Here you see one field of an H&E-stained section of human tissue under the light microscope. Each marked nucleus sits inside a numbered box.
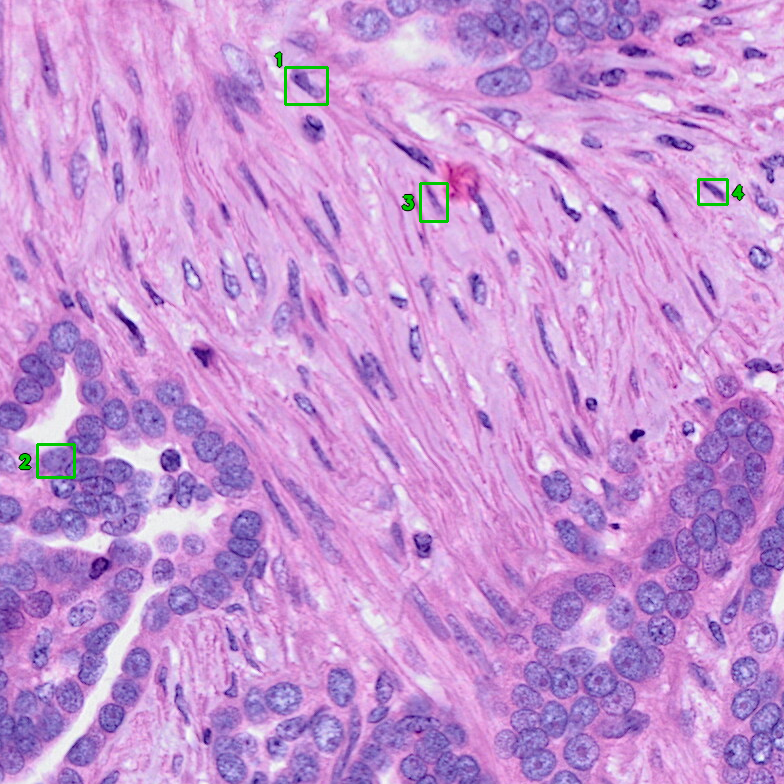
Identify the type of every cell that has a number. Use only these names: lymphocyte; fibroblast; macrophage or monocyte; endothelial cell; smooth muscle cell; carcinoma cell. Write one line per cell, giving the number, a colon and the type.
1: fibroblast
2: carcinoma cell
3: fibroblast
4: fibroblast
